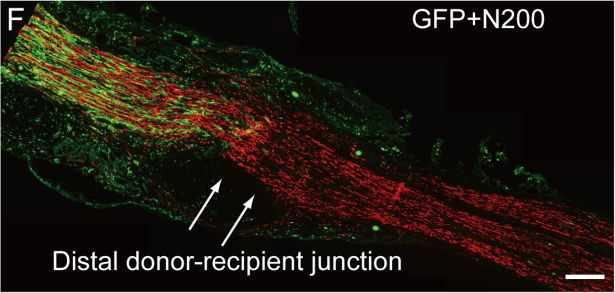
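Towards the middle the green component fades out, while the red axons continue uninterrupted into the right half, where they form a dense, compact bundle. Scattered green dots and loose tissue lie along the upper and lower edges.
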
